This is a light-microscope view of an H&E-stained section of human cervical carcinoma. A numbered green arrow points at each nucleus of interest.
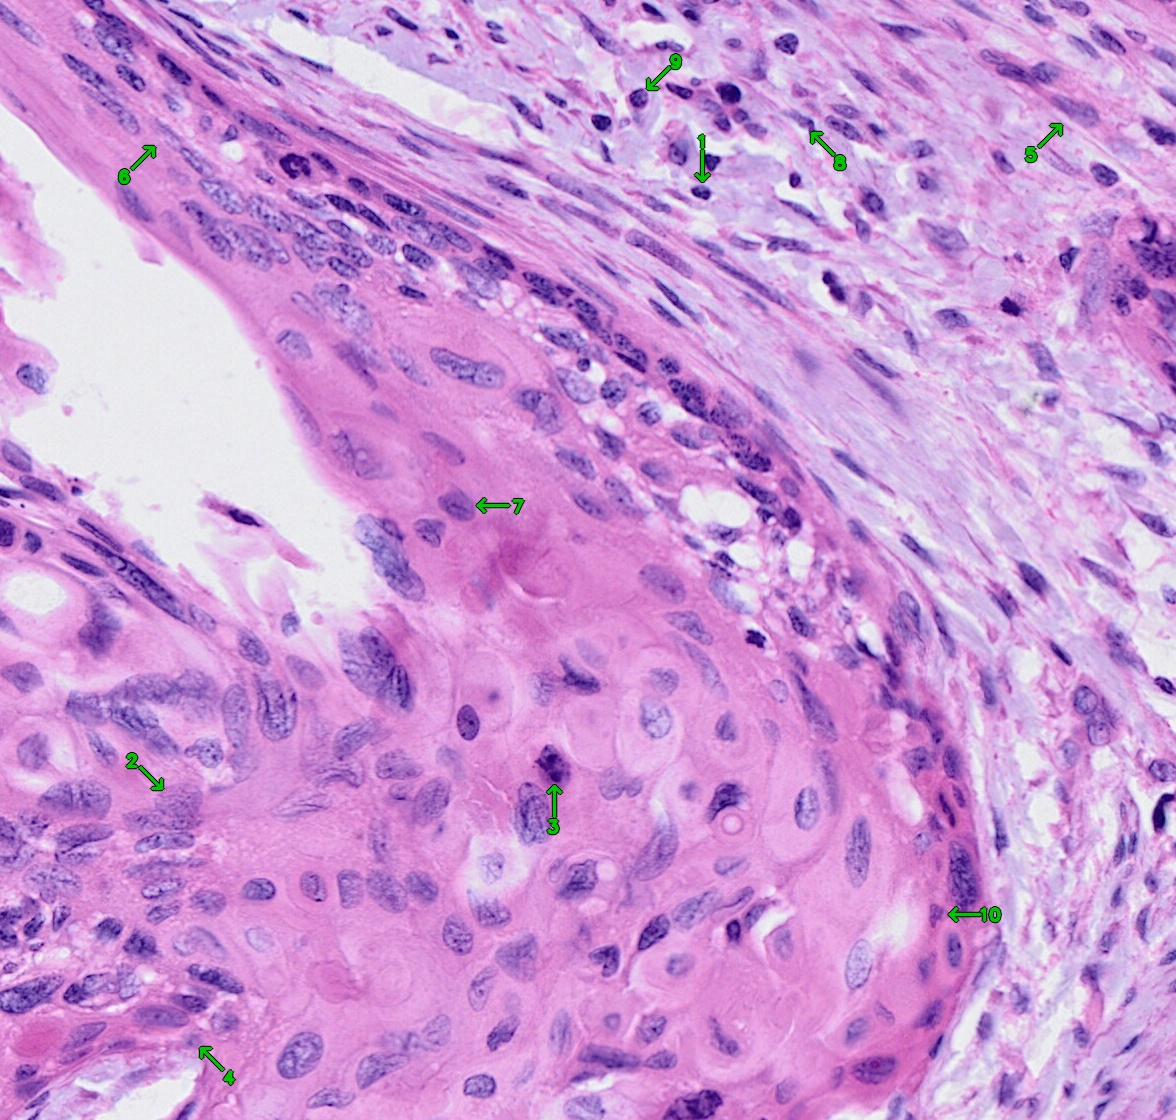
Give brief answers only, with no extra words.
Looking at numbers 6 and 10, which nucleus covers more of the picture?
6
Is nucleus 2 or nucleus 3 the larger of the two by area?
2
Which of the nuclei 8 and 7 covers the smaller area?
8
